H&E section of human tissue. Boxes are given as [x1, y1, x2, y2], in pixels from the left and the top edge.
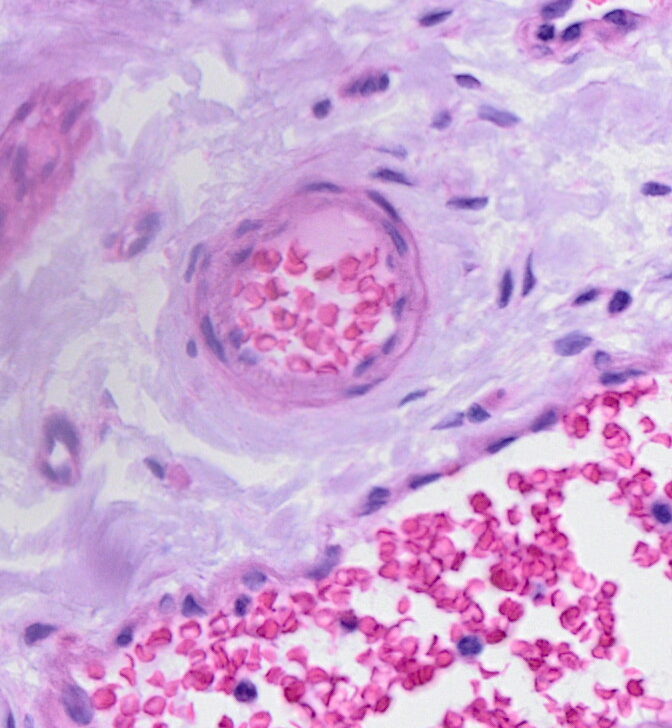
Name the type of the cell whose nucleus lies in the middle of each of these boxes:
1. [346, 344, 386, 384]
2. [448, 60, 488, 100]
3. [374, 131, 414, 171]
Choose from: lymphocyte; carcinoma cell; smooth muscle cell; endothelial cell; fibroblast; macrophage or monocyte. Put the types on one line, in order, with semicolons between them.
endothelial cell; fibroblast; fibroblast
